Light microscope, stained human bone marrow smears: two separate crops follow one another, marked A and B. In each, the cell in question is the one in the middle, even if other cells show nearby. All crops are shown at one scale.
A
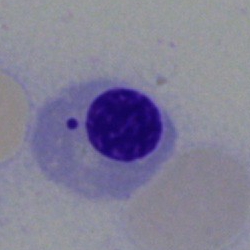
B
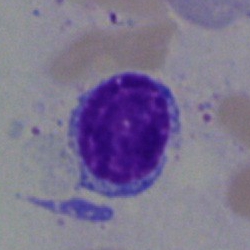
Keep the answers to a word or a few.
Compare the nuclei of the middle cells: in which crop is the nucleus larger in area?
B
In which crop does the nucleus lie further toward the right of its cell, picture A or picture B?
A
